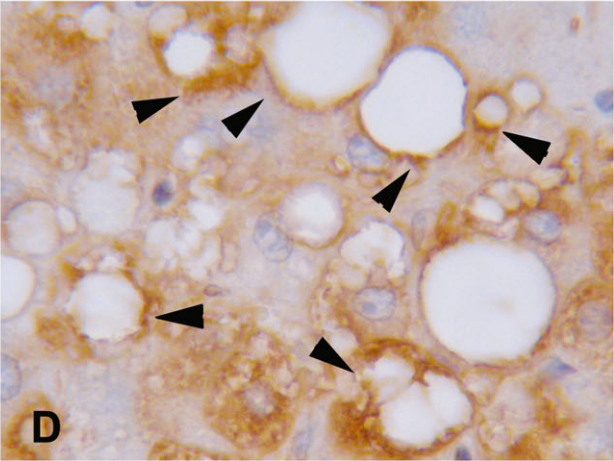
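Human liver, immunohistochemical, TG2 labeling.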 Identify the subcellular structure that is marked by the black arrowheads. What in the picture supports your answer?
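Large round clear empty spaces of varying size. Brown rims outline the clear spaces.
Lipid droplets.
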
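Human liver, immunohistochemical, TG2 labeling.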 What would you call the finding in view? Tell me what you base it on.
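Many cells contain large round clear vacuoles. Some vacuoles are as large as or larger than whole neighbouring cells.
Hence: macrovesicular steatosis.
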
